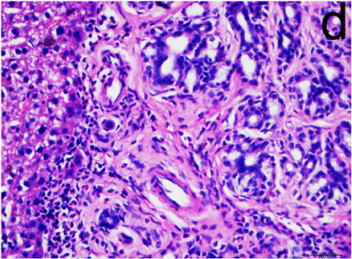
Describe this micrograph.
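This is liver with marked bile duct hyperplasia. Numerous small ducts, lined by cuboidal cells with dark purple nuclei, are packed in groups. The duct groups are separated by bands of pale pink fibrous stroma. At the left, a cluster of small round dark cells and some hepatocytes border the proliferating ducts.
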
